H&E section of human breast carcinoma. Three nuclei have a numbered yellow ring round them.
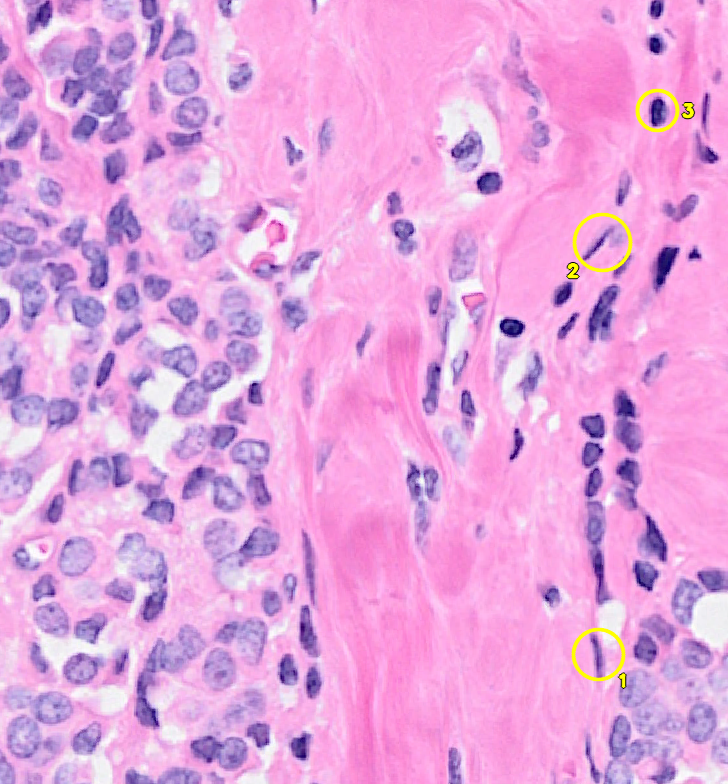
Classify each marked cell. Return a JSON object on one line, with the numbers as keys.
{"1": "fibroblast", "2": "fibroblast", "3": "lymphocyte"}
